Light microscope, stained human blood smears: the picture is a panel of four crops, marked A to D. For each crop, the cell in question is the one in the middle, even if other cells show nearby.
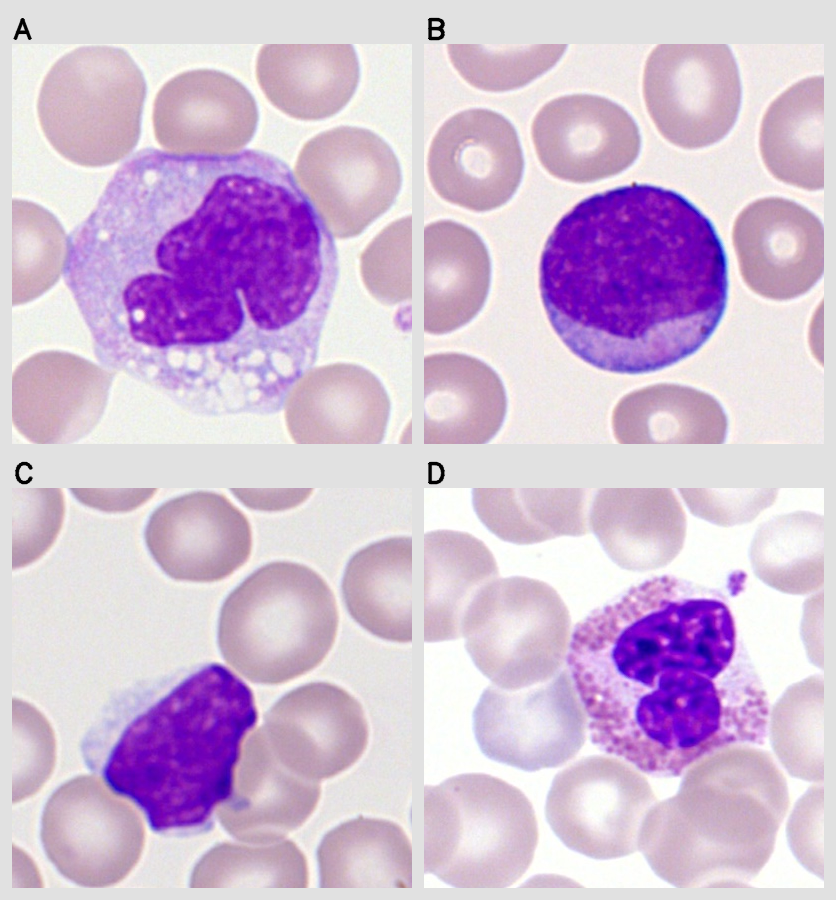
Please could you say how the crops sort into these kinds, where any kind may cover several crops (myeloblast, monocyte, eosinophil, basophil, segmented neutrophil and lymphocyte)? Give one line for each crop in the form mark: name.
A: monocyte
B: myeloblast
C: lymphocyte
D: eosinophil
